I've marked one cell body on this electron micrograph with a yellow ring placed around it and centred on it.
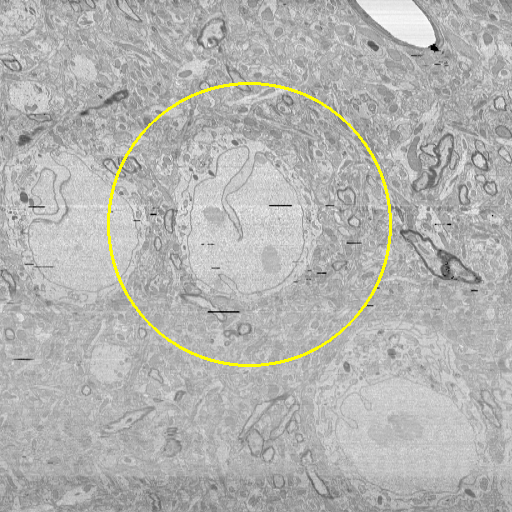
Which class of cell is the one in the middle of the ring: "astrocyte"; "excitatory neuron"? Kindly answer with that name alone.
excitatory neuron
